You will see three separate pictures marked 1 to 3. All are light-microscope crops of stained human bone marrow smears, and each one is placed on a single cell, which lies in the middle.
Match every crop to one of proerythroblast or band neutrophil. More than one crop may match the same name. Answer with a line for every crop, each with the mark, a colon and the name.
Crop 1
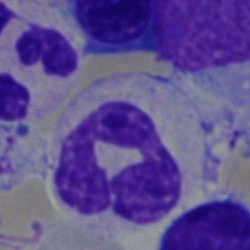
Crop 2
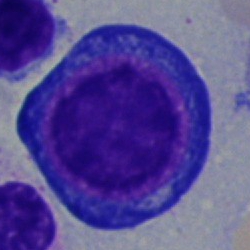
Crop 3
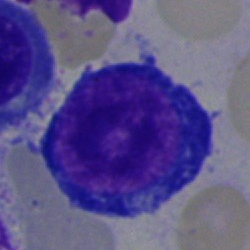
1: band neutrophil
2: proerythroblast
3: proerythroblast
